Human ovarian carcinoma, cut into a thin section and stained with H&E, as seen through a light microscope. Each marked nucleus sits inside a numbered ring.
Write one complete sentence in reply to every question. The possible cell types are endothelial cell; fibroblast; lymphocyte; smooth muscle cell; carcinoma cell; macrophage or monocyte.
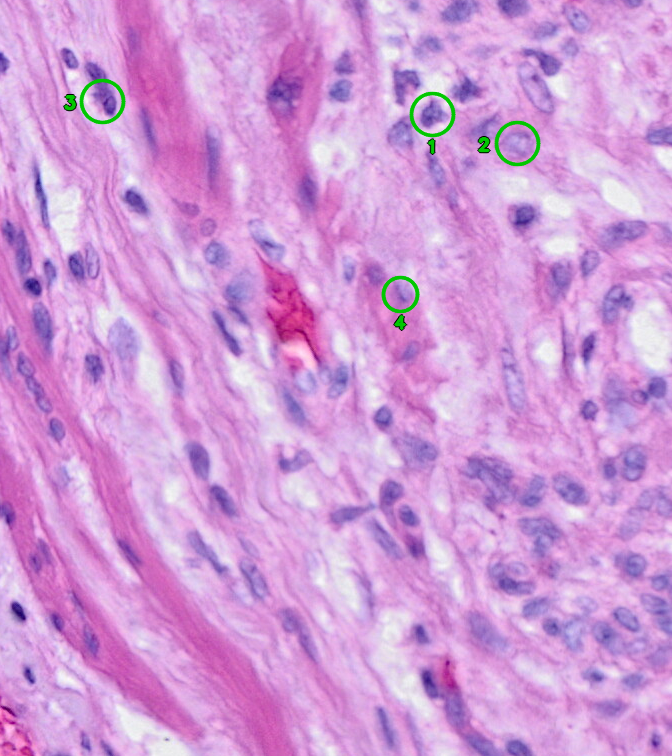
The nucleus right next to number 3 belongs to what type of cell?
The cell nearest to number 3 is a macrophage or monocyte.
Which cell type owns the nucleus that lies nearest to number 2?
The nearest nucleus to number 2 belongs to a fibroblast.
